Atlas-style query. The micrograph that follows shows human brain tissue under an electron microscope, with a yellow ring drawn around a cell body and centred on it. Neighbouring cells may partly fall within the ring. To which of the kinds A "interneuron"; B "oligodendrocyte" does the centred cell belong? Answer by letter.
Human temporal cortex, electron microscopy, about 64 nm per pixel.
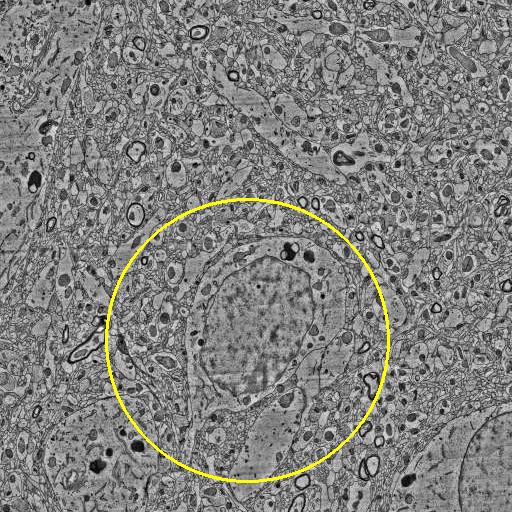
A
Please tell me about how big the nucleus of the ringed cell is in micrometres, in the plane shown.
The nucleus is approximately 9 micrometers long by 7 micrometers wide in this plane.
